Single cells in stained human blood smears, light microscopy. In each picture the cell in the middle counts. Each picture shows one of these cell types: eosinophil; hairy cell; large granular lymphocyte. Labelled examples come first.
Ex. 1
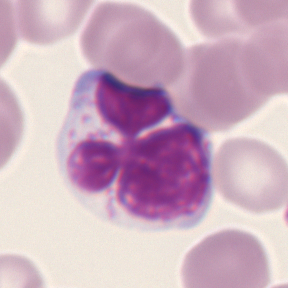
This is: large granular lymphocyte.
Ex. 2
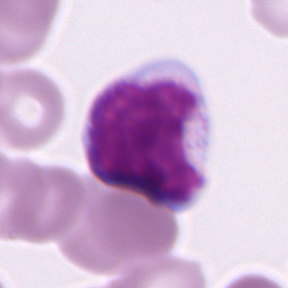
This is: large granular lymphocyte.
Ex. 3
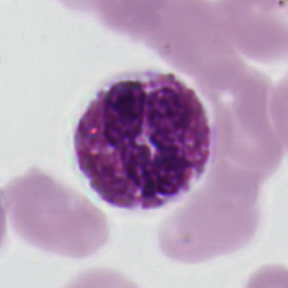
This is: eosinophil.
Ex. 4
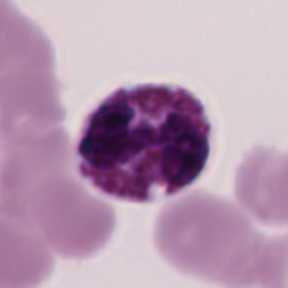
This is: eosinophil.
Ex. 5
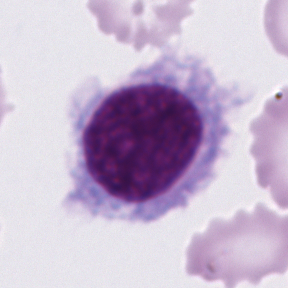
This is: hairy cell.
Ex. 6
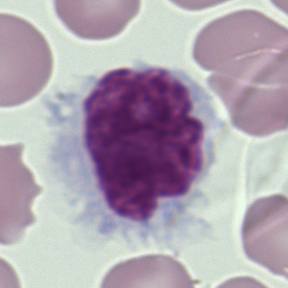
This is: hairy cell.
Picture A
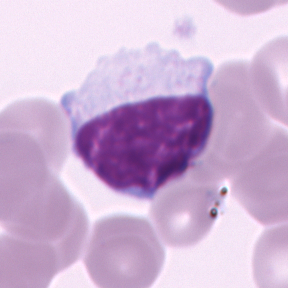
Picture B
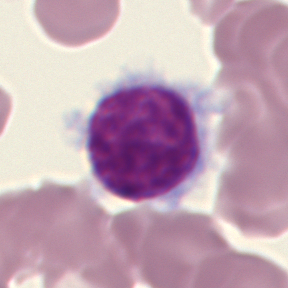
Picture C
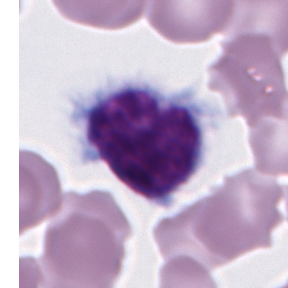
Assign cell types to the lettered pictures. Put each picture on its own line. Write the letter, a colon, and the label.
A: large granular lymphocyte.
B: hairy cell.
C: hairy cell.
